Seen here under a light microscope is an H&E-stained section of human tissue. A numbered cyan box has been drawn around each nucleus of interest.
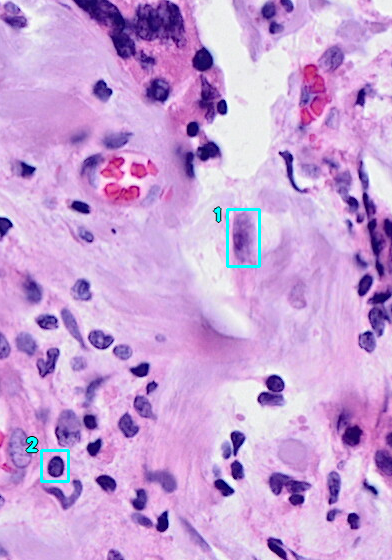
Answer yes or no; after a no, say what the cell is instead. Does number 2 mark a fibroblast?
No, it is a lymphocyte.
